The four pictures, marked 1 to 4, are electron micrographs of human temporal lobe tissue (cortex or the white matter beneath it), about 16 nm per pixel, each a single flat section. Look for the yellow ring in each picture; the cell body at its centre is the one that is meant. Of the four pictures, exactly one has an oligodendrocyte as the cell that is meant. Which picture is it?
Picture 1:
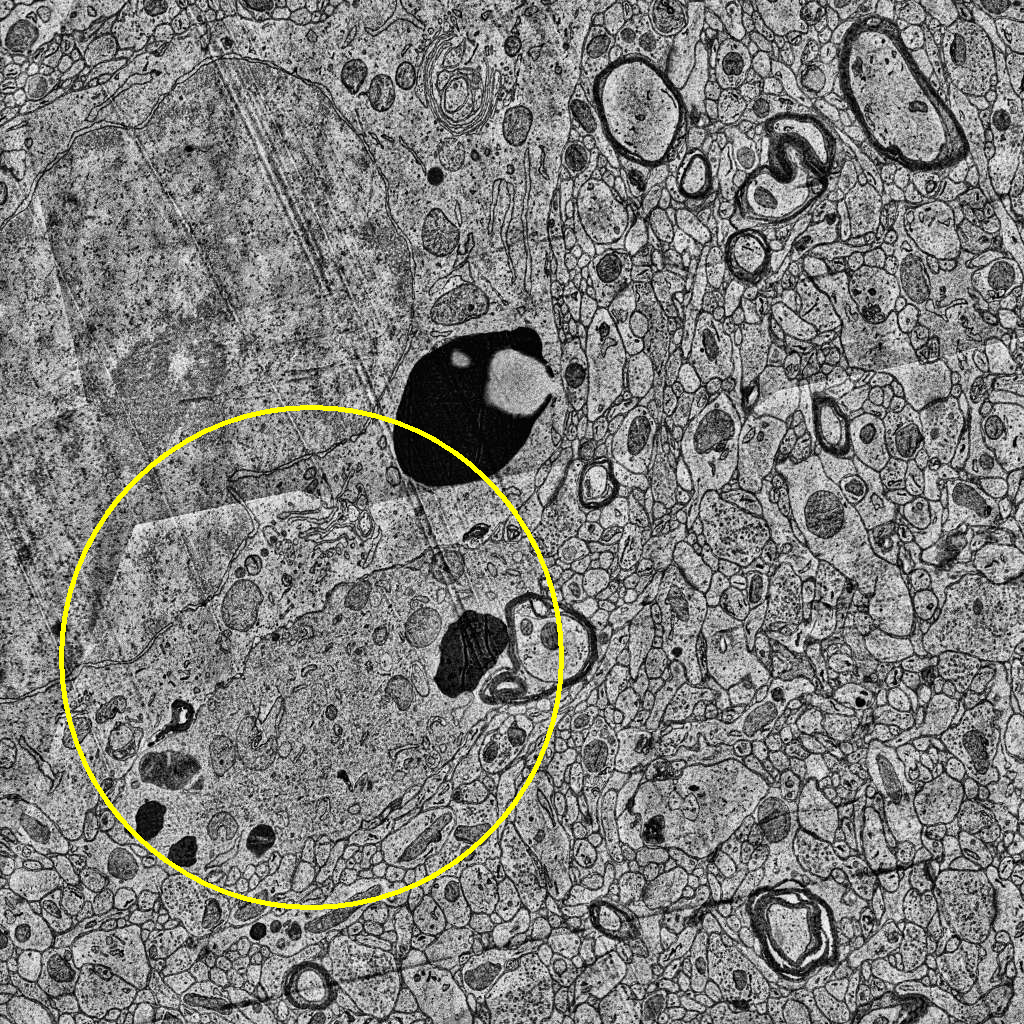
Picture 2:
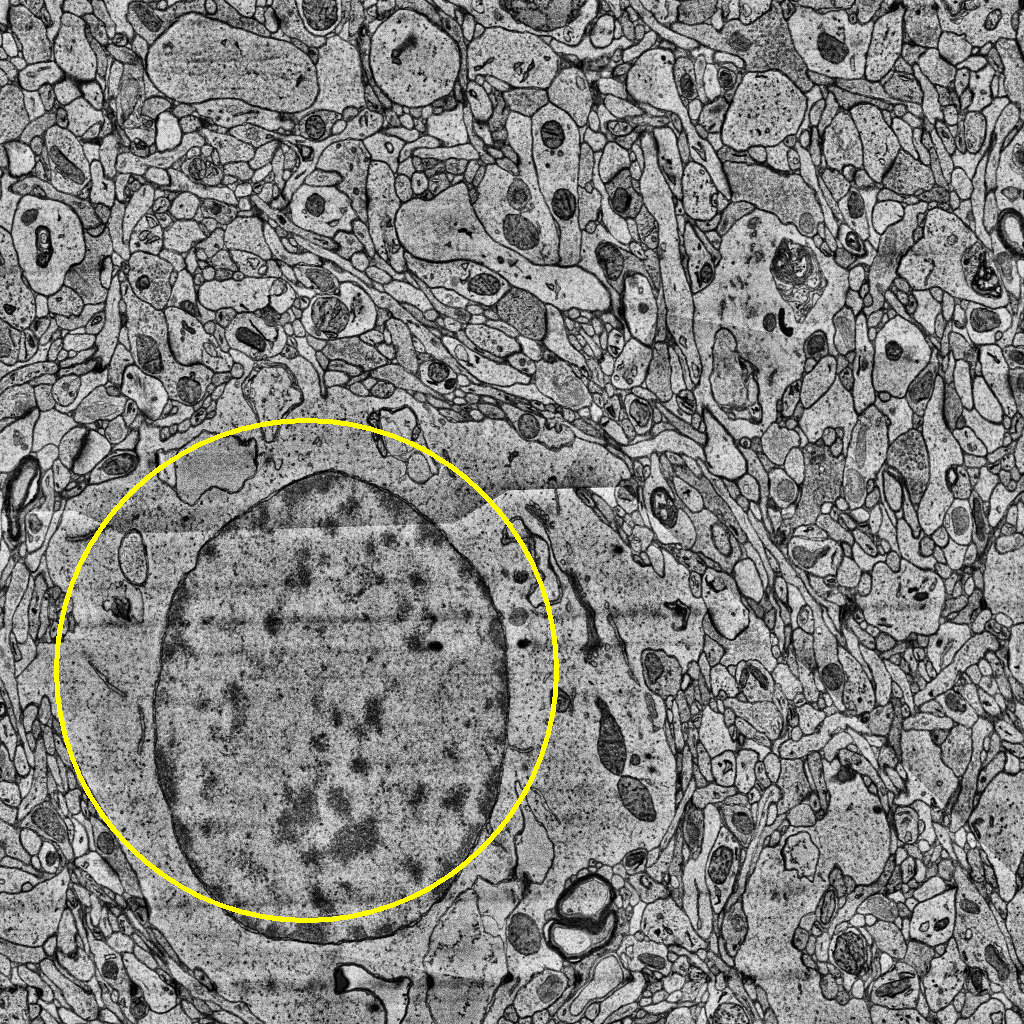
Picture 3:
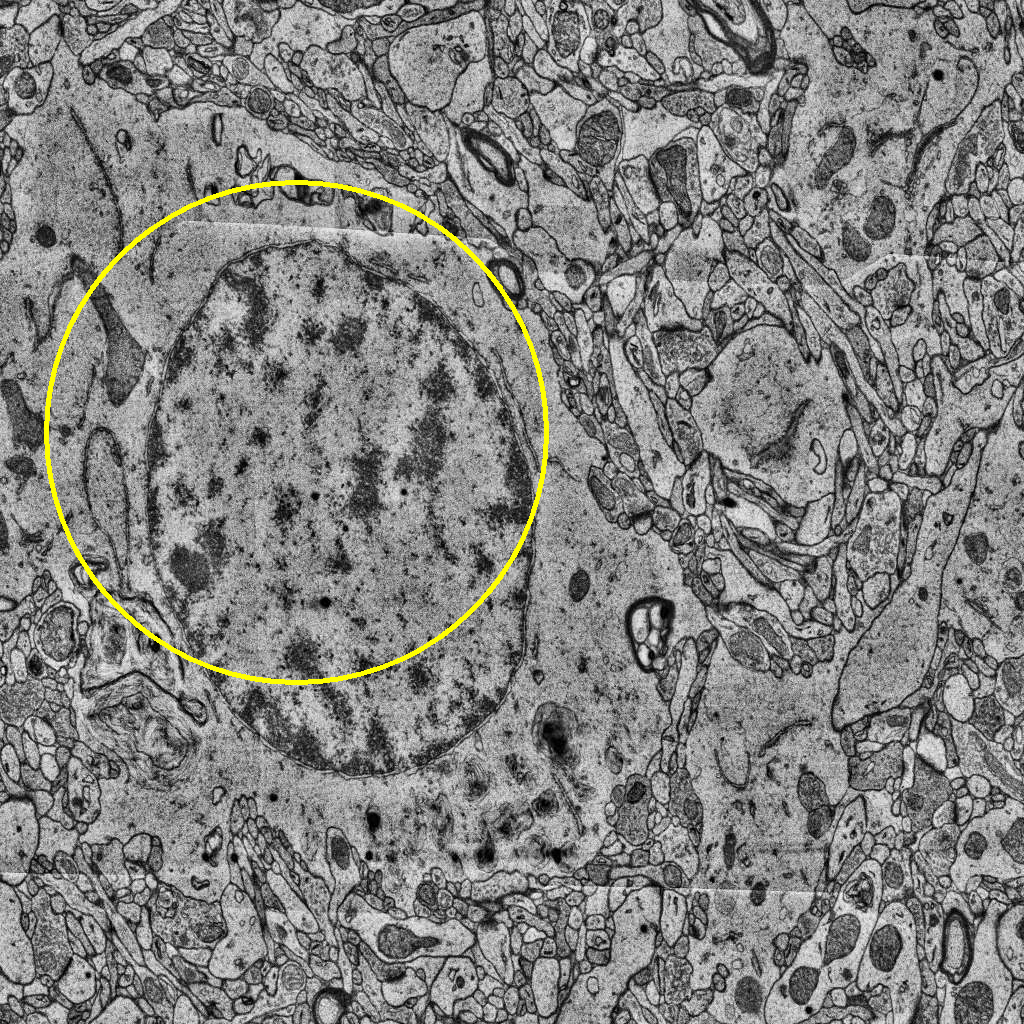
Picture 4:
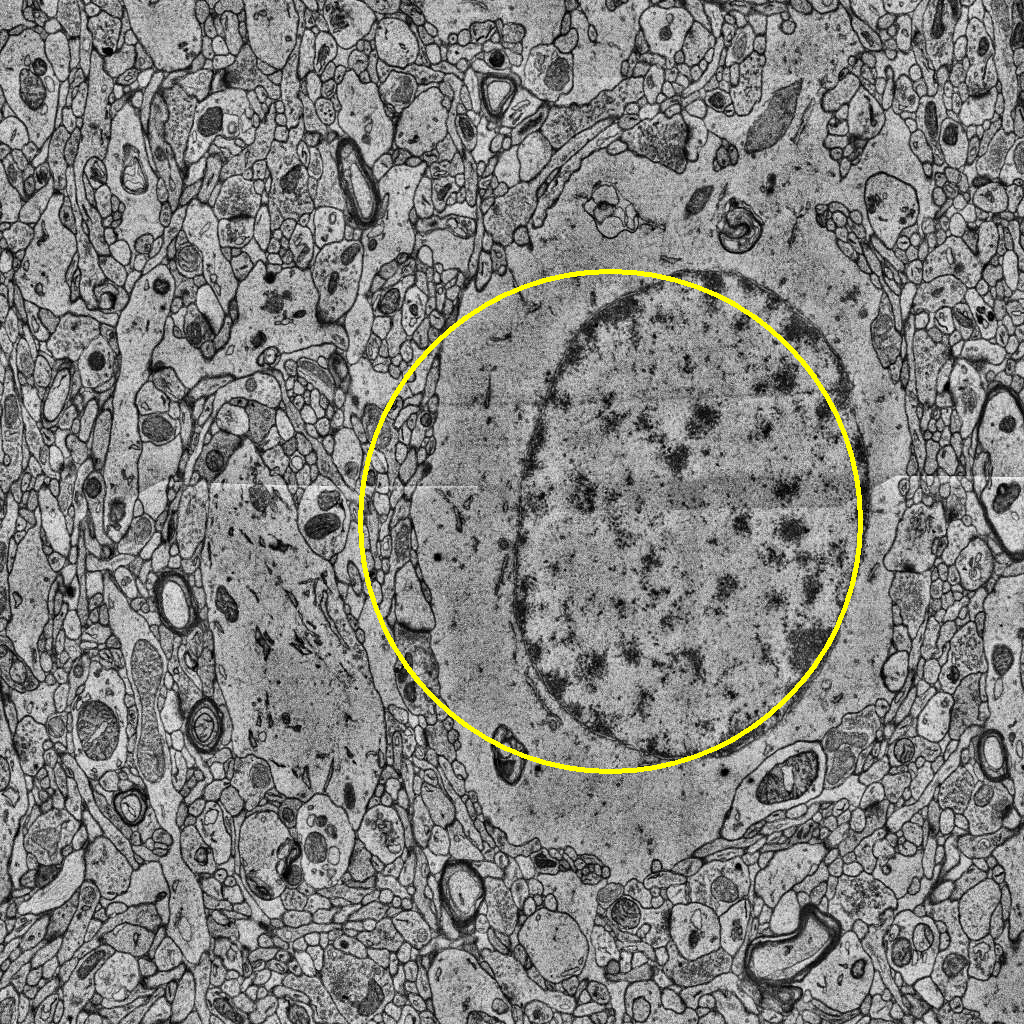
The cell in picture 1 is the oligodendrocyte.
